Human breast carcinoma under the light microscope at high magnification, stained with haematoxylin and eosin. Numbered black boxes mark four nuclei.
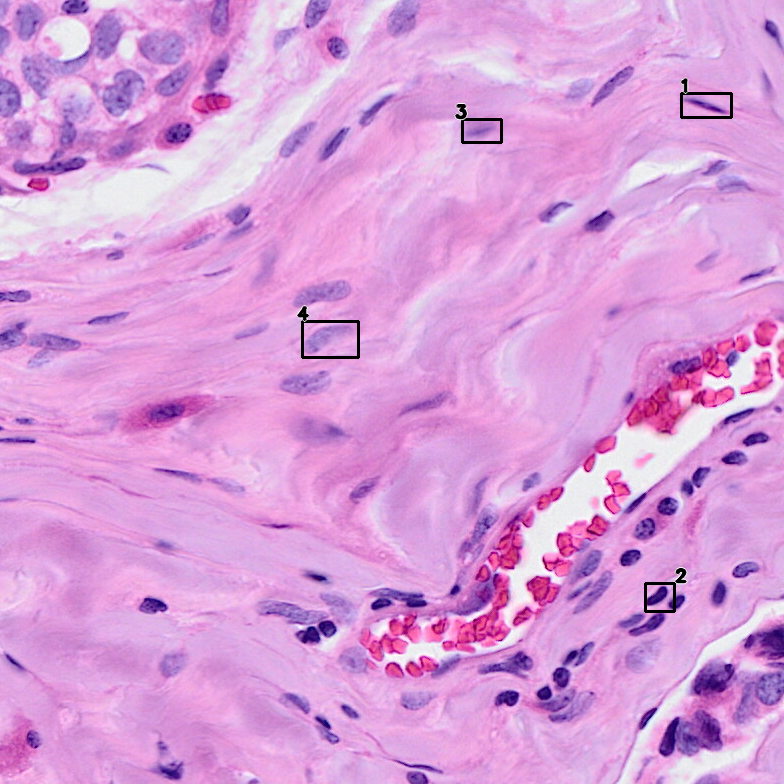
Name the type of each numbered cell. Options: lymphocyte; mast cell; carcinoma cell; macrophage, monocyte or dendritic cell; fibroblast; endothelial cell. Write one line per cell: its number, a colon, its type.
1: fibroblast
2: lymphocyte
3: fibroblast
4: fibroblast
